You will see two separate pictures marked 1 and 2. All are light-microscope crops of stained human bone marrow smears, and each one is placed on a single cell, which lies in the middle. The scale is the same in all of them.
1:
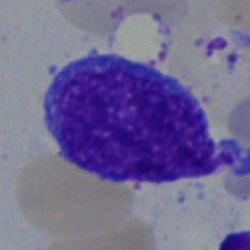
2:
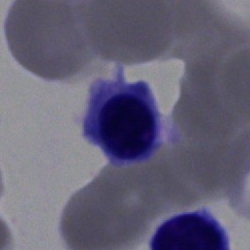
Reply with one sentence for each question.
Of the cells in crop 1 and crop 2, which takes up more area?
Crop 1 holds the larger cell; it covers about 3 times the area of the cell in crop 2.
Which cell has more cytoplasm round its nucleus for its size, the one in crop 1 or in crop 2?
Of the two, the nucleus in crop 2 leaves more room for cytoplasm.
